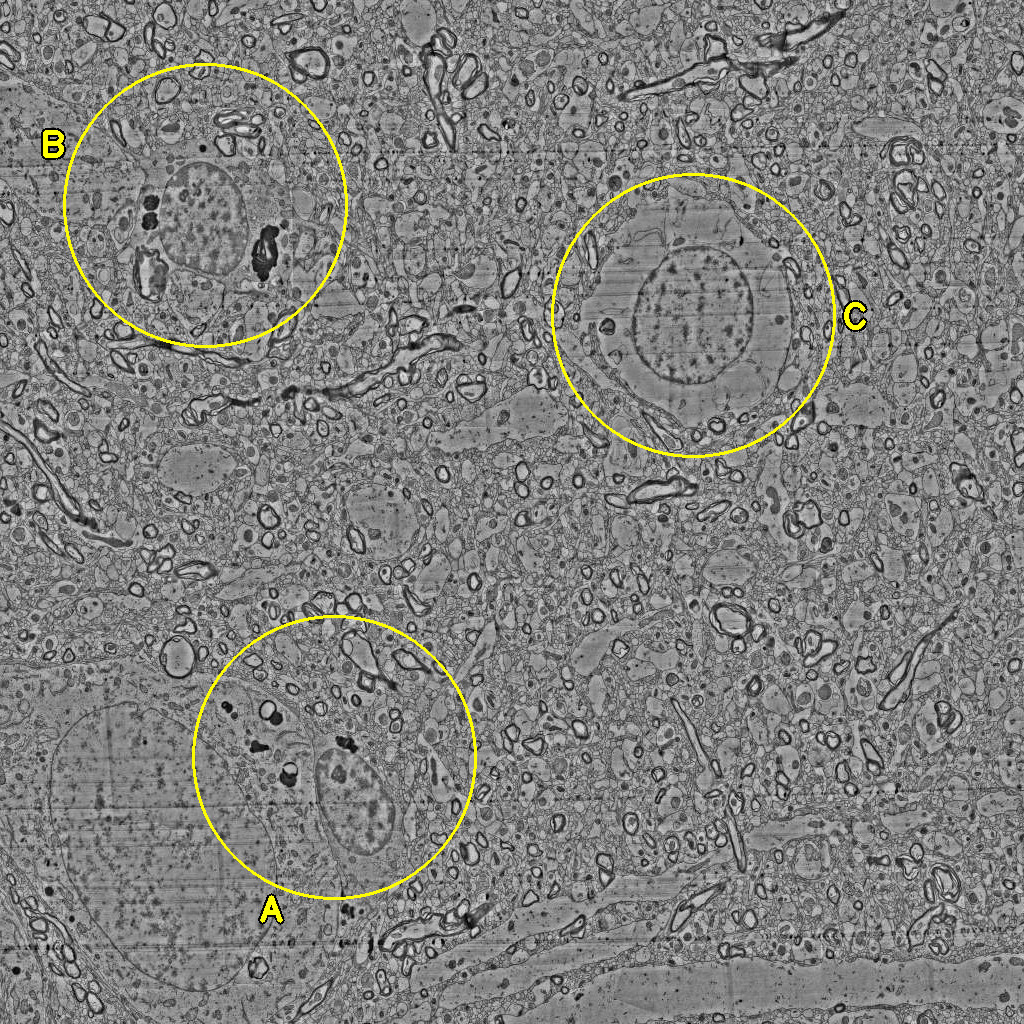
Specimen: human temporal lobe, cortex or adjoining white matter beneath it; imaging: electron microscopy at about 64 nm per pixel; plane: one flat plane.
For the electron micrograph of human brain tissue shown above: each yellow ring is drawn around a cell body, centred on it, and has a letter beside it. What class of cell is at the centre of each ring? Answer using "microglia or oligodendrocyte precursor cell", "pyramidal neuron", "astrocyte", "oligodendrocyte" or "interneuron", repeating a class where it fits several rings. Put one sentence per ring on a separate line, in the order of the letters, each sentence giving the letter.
At ring A, the central cell is an oligodendrocyte.
At ring B, the central cell is an oligodendrocyte.
At ring C, the central cell is an astrocyte.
